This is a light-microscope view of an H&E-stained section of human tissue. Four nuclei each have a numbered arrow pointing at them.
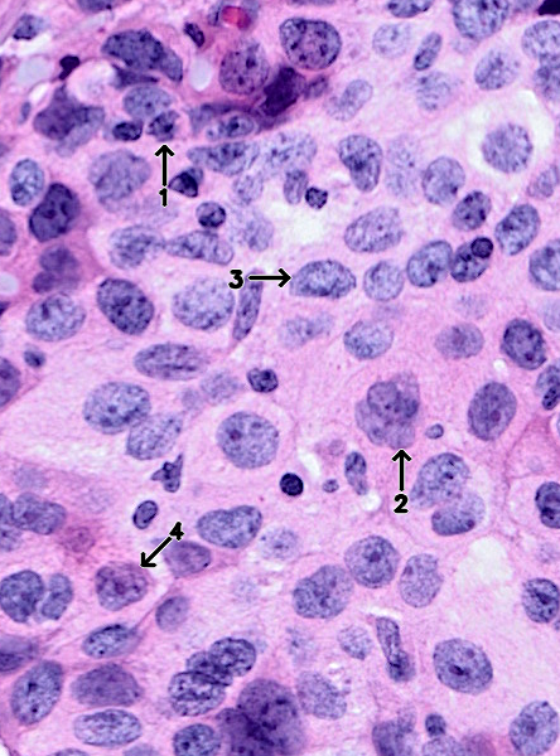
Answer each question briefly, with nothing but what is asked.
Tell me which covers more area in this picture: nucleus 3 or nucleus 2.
3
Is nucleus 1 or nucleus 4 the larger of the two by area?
4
